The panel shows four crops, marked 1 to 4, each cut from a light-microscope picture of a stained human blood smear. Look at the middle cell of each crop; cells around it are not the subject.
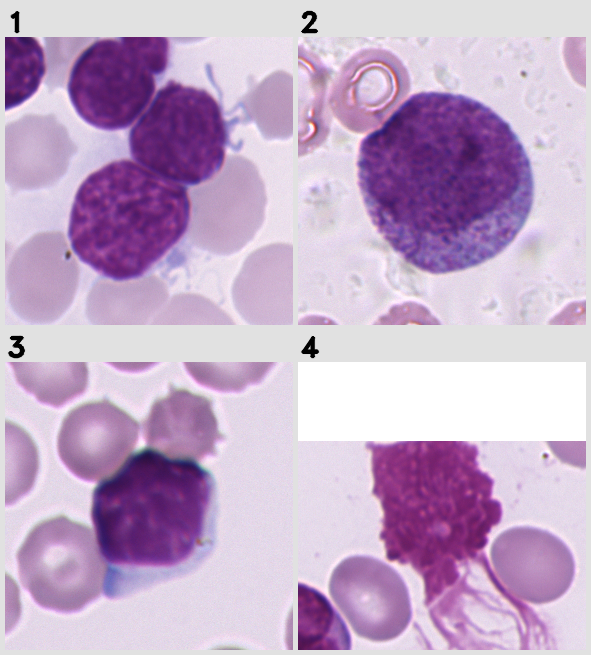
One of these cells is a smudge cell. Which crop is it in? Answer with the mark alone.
4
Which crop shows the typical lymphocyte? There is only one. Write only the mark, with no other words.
3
